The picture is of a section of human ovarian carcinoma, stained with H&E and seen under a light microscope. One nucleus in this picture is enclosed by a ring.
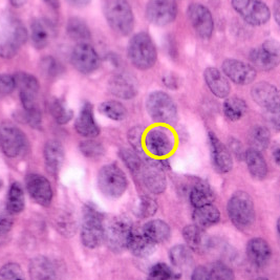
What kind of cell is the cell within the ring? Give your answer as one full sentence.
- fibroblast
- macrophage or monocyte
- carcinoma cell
Placed in its cell category, the cell within the ring is a carcinoma cell.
